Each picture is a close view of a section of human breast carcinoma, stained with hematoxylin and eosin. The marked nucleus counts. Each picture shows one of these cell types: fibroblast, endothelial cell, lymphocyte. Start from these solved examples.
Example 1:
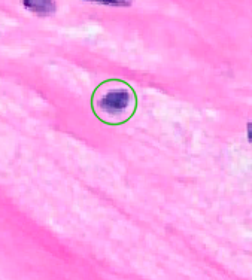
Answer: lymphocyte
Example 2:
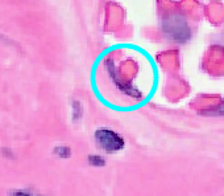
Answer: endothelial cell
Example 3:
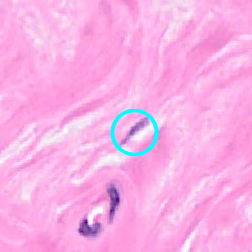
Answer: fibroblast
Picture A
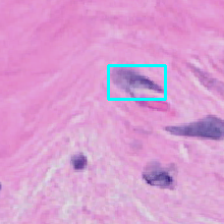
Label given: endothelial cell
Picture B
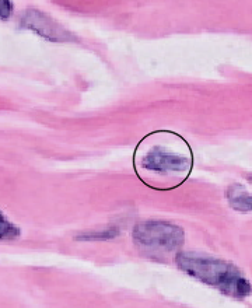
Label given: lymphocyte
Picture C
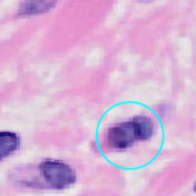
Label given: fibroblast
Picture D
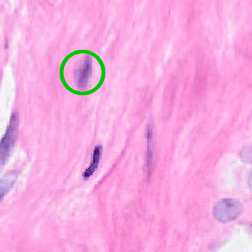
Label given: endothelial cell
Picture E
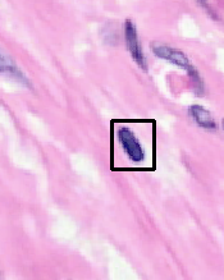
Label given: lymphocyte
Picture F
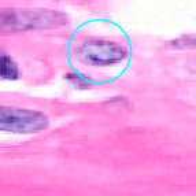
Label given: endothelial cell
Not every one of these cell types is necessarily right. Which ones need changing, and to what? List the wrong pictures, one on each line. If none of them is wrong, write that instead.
Wrong: C (fibroblast); correct: lymphocyte
Wrong: D (endothelial cell); correct: fibroblast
